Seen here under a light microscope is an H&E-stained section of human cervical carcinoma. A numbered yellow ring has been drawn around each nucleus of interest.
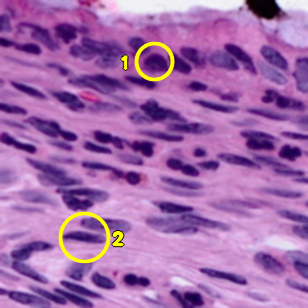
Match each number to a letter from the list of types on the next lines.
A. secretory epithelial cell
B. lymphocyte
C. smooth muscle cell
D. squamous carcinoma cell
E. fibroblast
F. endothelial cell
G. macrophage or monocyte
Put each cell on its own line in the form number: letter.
1: A
2: E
